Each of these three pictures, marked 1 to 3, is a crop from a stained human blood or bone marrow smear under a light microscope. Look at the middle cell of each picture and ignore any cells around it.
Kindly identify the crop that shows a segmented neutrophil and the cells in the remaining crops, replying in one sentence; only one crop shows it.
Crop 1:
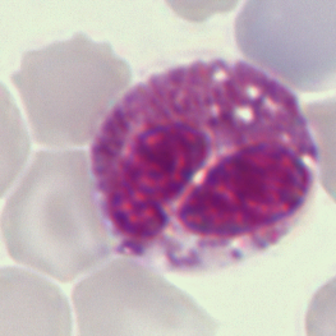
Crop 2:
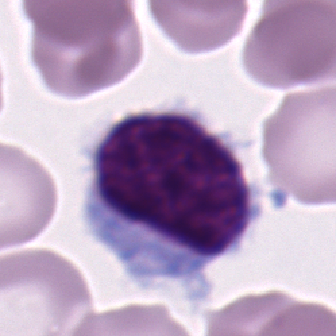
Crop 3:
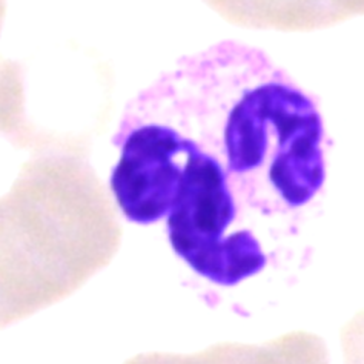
In the case of crop 3, the cell is a segmented neutrophil, while crop 1 is an eosinophil and crop 2 is a hairy cell.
